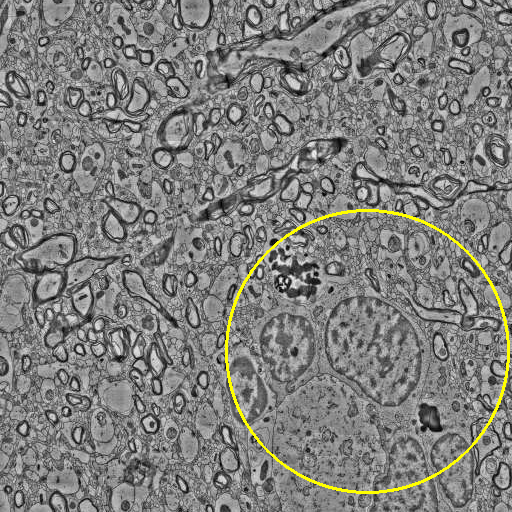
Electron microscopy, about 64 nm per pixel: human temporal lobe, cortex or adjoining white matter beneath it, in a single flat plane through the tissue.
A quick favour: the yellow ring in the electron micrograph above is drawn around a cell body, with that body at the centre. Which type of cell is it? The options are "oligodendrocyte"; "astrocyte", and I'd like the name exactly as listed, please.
oligodendrocyte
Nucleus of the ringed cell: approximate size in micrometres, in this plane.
The nucleus is approximately 7 micrometers long by 6 micrometers wide in this plane.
